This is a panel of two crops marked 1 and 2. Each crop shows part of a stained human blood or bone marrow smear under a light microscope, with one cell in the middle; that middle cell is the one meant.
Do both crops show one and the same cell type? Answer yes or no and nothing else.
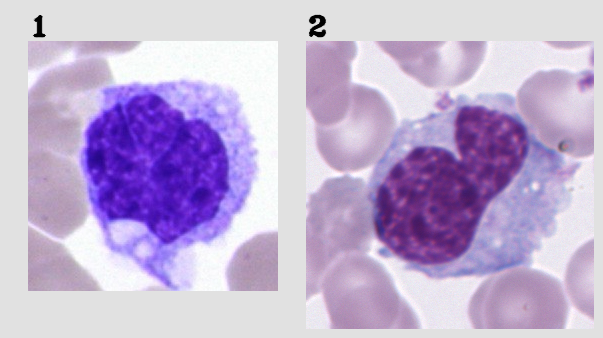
yes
